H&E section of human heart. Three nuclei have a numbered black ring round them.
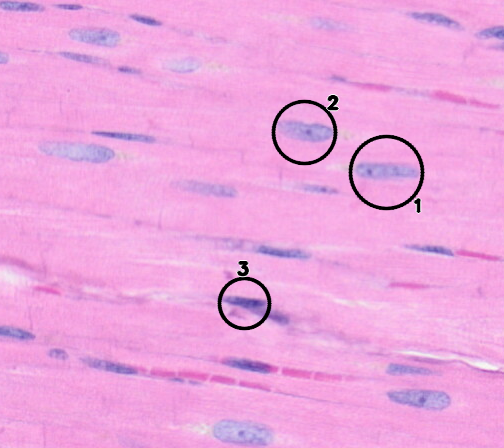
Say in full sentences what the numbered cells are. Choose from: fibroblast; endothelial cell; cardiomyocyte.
Cell 1 is a cardiomyocyte, cell 2 is a cardiomyocyte and cell 3 is an endothelial cell.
